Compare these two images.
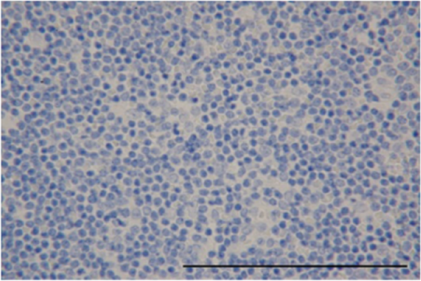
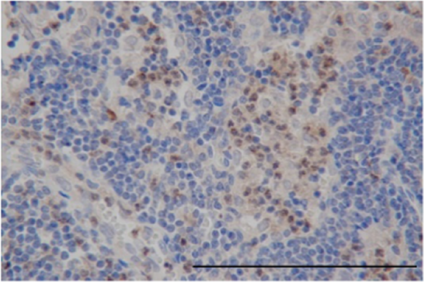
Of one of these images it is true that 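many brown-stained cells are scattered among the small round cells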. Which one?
The second image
